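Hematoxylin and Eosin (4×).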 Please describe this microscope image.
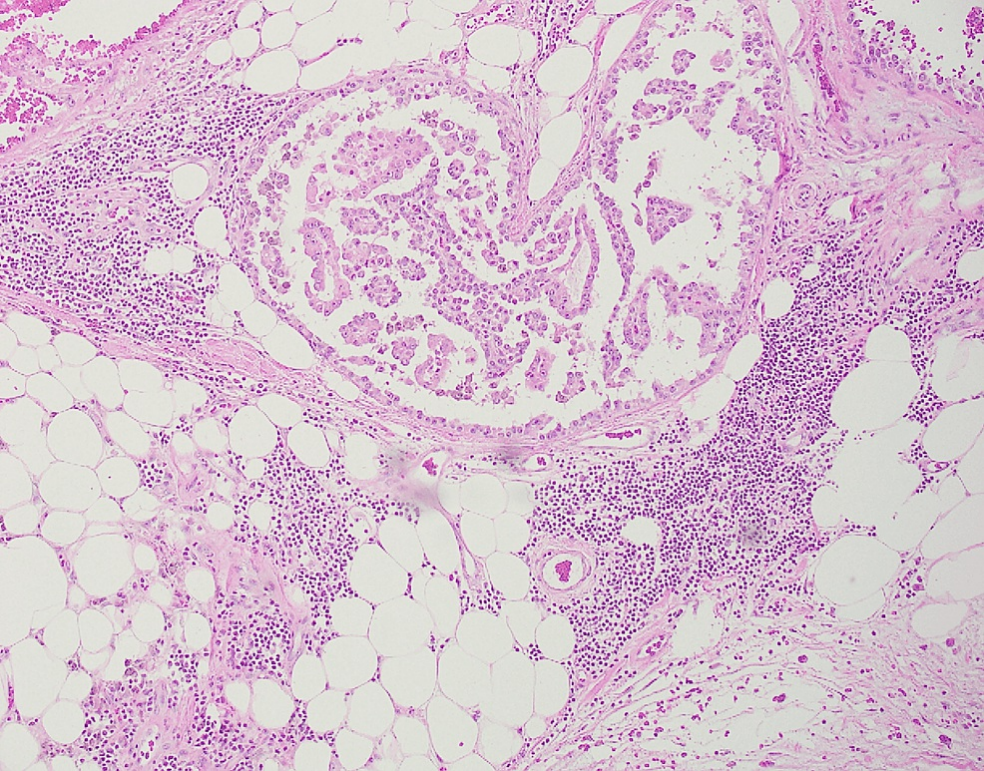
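This section shows a nest of micropapillary carcinoma lying within fat. Near the top centre, a rounded space outlined by a thin pink fibrous rim holds many small tufts and clusters of tumor cells. The tufts have no central cores, and clear gaps separate them. The tumor cells have pink cytoplasm and enlarged nuclei. Around the nest, large empty round fat cells with thin walls take up much of the field. Dense sheets of small, dark, round cells lie between the fat cells. Thin pink fibrous strands and a few small vessels with red blood cells cross the tissue.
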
